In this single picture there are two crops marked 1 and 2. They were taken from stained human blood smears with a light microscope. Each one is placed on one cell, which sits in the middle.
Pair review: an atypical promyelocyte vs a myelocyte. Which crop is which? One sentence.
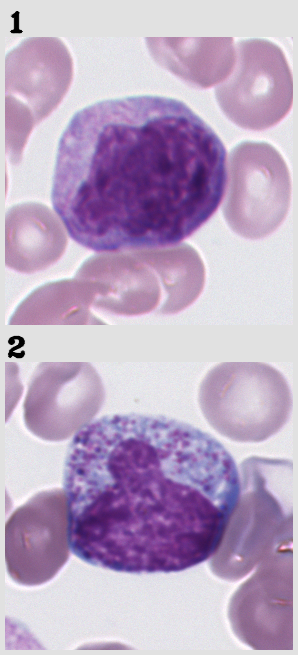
In this set, crop 1 shows an atypical promyelocyte and crop 2 shows a myelocyte.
